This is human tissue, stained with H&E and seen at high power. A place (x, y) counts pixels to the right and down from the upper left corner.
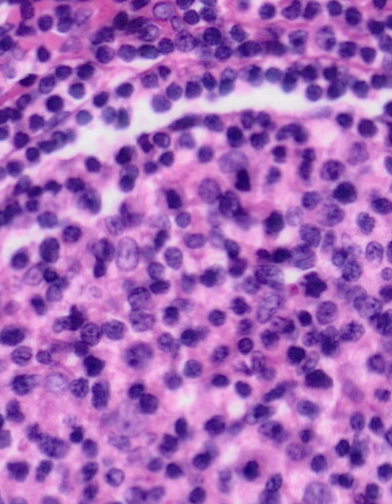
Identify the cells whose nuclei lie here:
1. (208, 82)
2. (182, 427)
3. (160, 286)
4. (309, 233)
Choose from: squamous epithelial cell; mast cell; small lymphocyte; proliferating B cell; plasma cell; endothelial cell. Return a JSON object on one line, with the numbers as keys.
{"1": "small lymphocyte", "2": "proliferating B cell", "3": "proliferating B cell", "4": "proliferating B cell"}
